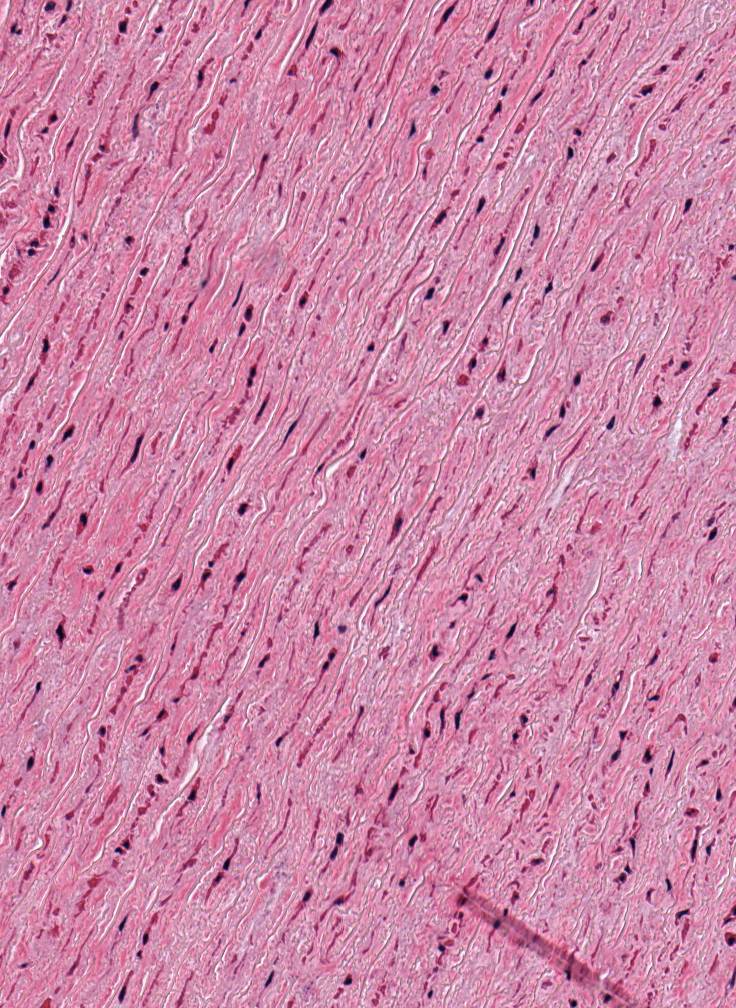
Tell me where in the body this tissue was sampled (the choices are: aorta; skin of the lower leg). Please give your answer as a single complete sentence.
Tissue from the aorta was used for this section.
